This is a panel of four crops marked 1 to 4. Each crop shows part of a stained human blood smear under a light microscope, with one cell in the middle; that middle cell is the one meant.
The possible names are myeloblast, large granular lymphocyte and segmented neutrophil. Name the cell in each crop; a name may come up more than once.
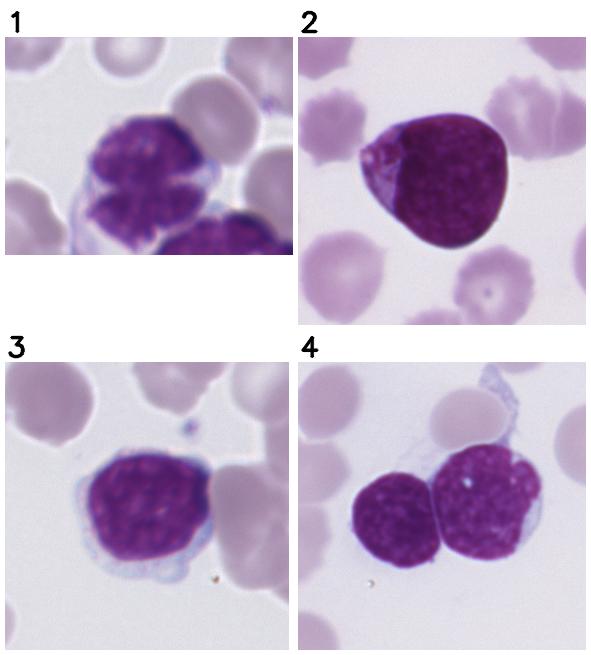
1: large granular lymphocyte
2: myeloblast
3: large granular lymphocyte
4: myeloblast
